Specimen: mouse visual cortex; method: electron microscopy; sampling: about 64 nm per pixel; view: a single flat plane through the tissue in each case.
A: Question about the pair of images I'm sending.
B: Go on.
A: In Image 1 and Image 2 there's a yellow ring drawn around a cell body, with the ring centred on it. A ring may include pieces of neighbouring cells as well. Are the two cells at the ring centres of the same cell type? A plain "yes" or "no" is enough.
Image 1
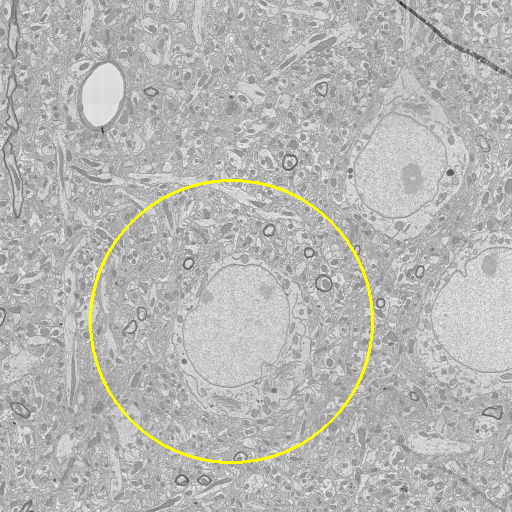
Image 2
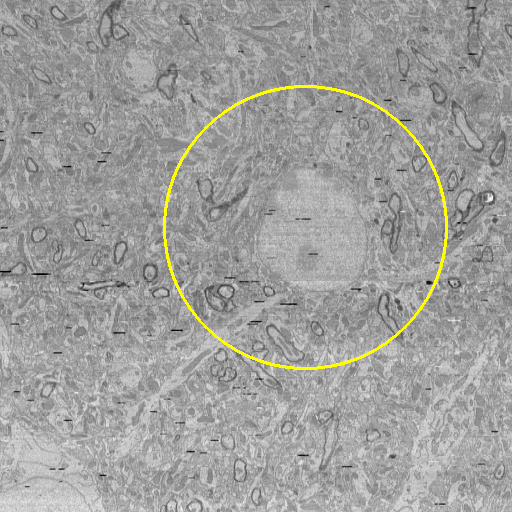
no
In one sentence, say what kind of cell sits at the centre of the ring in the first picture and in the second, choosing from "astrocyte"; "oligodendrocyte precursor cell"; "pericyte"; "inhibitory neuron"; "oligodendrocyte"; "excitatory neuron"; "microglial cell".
The first picture's ringed cell is an excitatory neuron, while the second picture's is an astrocyte.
